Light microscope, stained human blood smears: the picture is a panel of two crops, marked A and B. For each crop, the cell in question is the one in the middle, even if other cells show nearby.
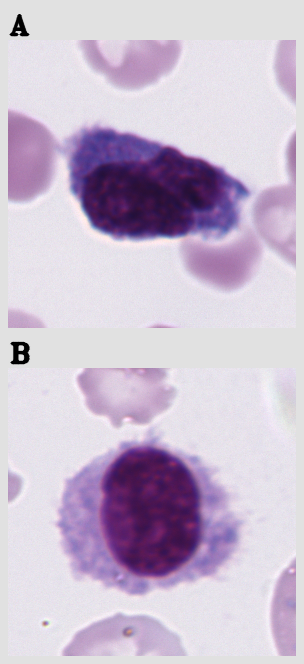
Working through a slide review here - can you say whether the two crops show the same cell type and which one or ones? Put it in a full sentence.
No, just to correct that: crop A shows a monocyte, crop B shows a hairy cell.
